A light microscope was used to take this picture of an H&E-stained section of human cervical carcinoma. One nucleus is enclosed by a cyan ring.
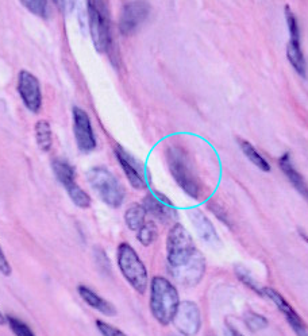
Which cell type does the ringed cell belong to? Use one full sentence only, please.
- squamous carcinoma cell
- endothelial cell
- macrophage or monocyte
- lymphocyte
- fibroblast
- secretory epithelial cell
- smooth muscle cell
The cell type of the ringed cell is that of an endothelial cell.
